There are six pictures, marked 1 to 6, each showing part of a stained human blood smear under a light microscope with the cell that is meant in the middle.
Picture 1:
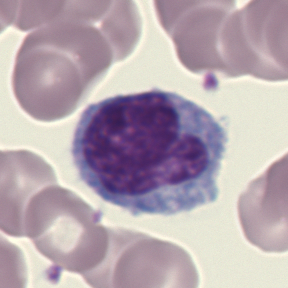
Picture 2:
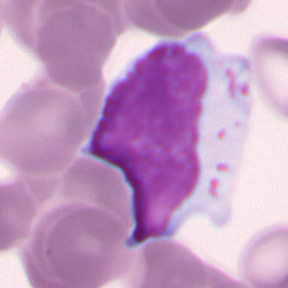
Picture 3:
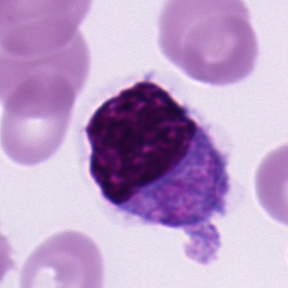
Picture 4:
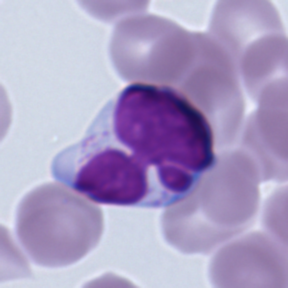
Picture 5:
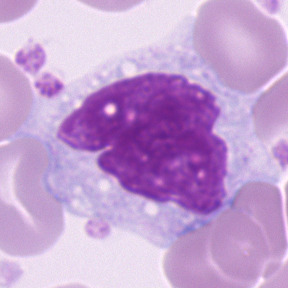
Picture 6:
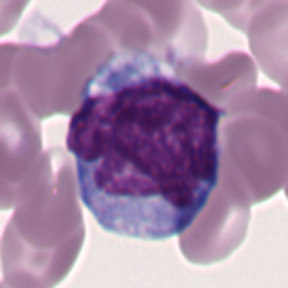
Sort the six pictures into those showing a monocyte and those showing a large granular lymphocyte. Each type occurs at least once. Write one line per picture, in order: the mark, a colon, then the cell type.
1: monocyte
2: large granular lymphocyte
3: monocyte
4: large granular lymphocyte
5: monocyte
6: monocyte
